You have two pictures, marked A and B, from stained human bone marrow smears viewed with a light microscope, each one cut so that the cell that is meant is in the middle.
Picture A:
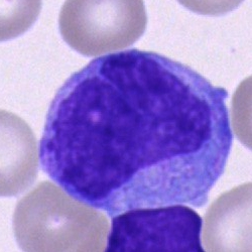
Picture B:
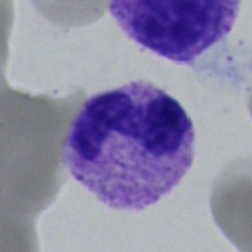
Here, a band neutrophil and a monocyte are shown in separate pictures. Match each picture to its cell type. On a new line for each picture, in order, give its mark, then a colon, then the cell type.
A: monocyte
B: band neutrophil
